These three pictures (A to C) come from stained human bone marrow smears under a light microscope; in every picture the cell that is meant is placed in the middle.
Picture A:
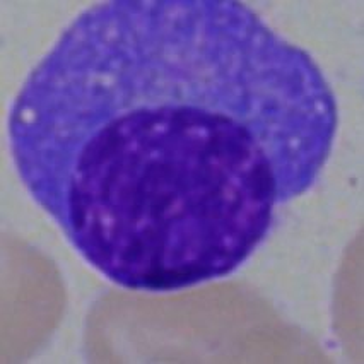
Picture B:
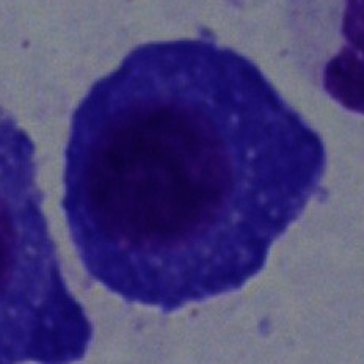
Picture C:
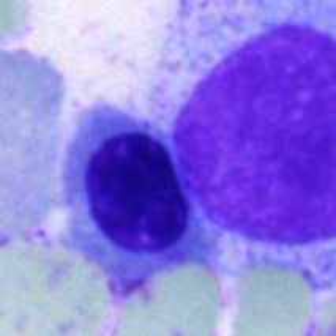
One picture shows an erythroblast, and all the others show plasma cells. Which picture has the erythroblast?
C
